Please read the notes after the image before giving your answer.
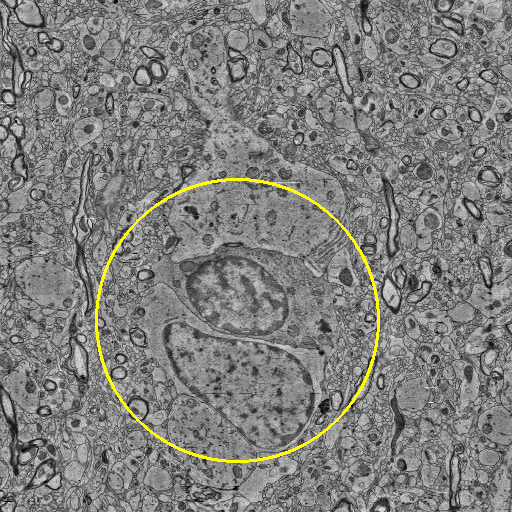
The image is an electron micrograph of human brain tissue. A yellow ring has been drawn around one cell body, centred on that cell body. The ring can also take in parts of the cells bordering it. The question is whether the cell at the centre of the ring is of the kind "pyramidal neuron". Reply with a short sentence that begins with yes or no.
No, the cell at the centre is of another kind.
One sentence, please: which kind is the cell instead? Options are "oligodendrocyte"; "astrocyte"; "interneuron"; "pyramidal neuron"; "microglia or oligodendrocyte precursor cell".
Instead, the cell at the centre of the yellow ring is an oligodendrocyte.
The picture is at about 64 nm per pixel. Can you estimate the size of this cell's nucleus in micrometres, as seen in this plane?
The nucleus of the ringed cell is approximately 7 by 5 micrometres in this plane.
